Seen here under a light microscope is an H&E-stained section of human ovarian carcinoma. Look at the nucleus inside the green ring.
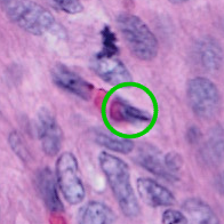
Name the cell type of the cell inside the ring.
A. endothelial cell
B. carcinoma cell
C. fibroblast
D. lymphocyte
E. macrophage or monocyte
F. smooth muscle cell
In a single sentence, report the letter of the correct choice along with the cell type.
Here the cell inside the ring is an endothelial cell, which makes option A correct.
